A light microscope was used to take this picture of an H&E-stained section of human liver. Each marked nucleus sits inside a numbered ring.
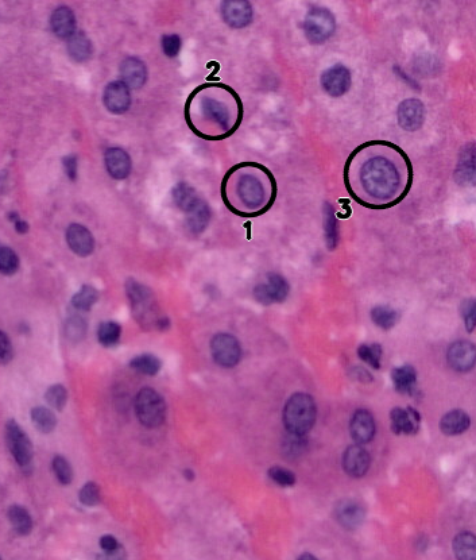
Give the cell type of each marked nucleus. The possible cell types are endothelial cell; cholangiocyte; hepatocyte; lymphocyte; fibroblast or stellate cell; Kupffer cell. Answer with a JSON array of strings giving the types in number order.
["hepatocyte", "endothelial cell", "hepatocyte"]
